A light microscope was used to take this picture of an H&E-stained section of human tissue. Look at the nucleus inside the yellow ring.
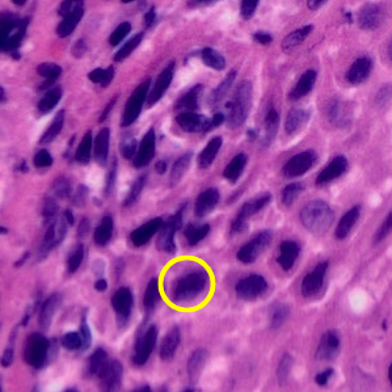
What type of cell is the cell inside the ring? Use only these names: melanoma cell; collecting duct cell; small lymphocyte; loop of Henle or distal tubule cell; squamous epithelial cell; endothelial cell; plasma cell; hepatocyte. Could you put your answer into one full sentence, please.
In the tissue under study, the cell inside the ring is a squamous epithelial cell.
